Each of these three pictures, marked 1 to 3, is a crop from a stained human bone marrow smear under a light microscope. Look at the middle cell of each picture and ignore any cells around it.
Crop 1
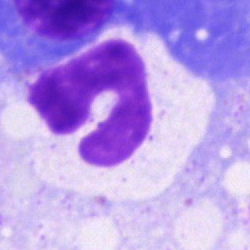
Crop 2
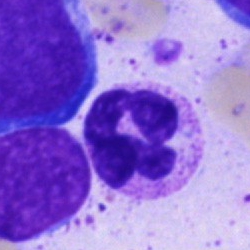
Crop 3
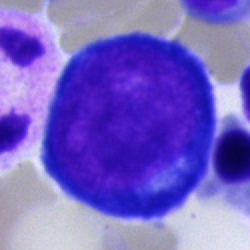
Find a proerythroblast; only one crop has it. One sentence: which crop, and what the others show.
In crop 3 one sees a proerythroblast, while crop 1 is a band neutrophil and crop 2 is a segmented neutrophil.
